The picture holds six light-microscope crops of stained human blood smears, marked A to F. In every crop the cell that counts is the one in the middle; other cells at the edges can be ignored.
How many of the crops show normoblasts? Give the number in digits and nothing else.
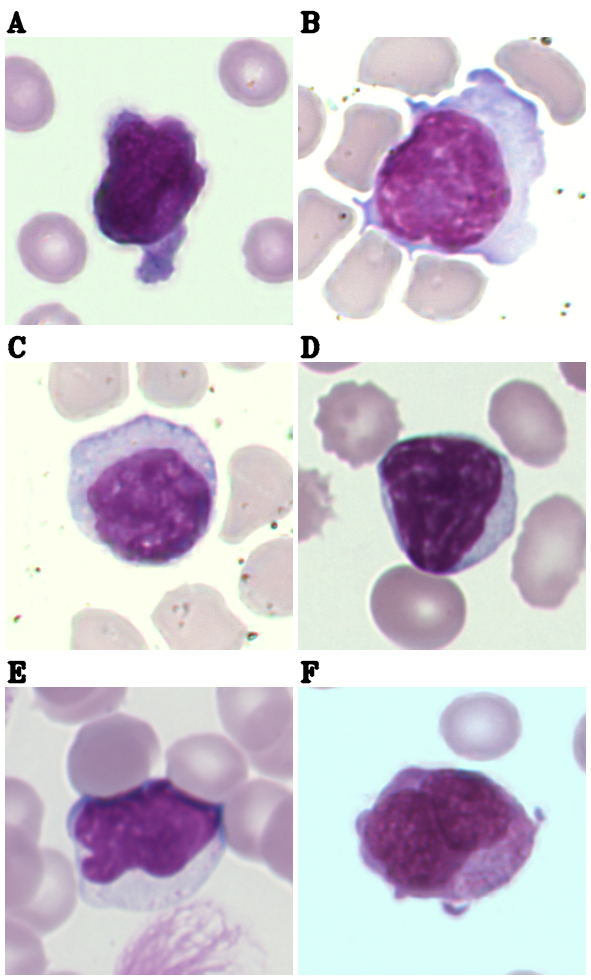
0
